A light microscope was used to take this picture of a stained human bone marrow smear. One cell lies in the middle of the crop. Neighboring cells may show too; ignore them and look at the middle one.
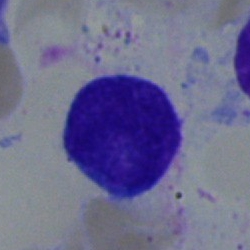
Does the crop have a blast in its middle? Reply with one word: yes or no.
yes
